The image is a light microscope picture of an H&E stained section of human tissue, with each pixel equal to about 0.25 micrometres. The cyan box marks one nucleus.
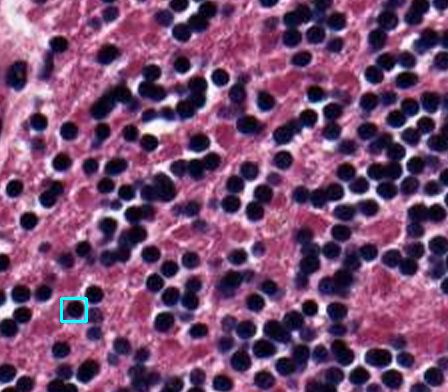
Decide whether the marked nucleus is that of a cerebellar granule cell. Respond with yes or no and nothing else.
yes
